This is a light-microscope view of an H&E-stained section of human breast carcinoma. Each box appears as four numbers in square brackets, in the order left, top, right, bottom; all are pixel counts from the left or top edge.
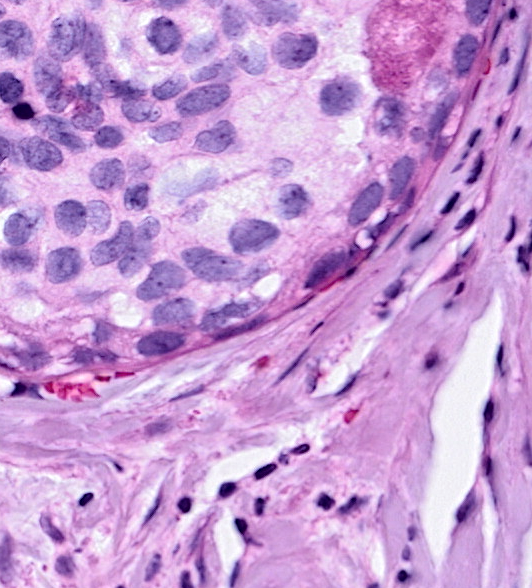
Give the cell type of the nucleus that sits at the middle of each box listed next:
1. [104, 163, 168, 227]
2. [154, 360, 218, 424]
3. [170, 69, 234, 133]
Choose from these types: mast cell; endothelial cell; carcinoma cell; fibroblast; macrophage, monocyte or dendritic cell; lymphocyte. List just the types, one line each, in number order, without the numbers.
carcinoma cell
fibroblast
carcinoma cell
